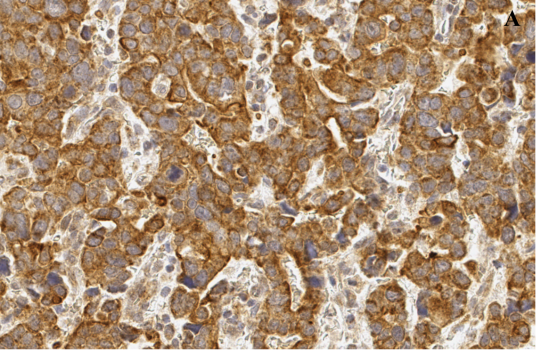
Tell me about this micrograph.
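Carcinoma cells in solid nests and cords separated by narrow strands of pale, loose stroma. Stromal strands contain scattered small, elongated cells with dark blue nuclei and little brown colour. Cells are crowded and slightly irregular in size.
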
